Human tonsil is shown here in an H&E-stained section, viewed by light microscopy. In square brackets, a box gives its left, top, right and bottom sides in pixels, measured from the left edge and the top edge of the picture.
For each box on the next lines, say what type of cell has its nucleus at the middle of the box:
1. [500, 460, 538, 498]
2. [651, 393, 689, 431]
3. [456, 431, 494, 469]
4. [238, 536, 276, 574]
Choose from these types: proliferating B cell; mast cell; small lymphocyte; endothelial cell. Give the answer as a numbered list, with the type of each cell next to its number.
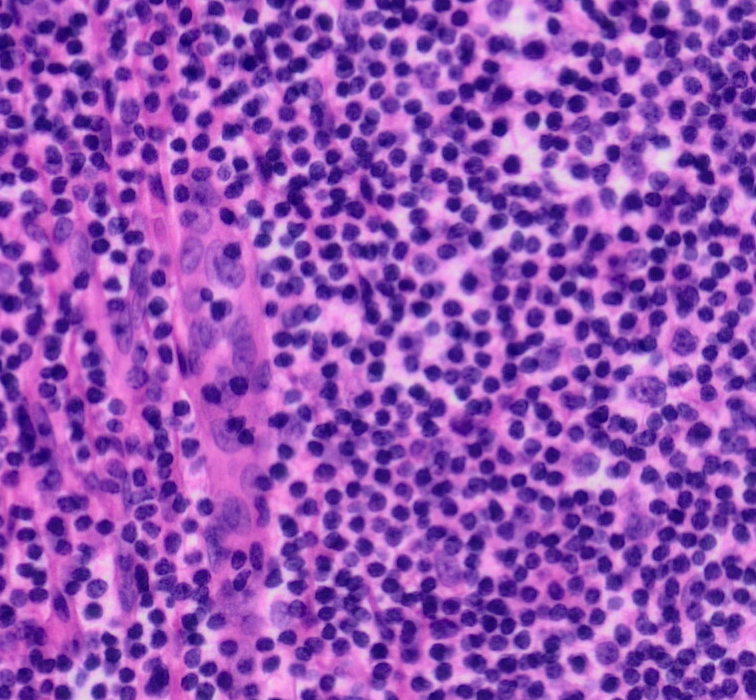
1. small lymphocyte
2. small lymphocyte
3. small lymphocyte
4. endothelial cell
